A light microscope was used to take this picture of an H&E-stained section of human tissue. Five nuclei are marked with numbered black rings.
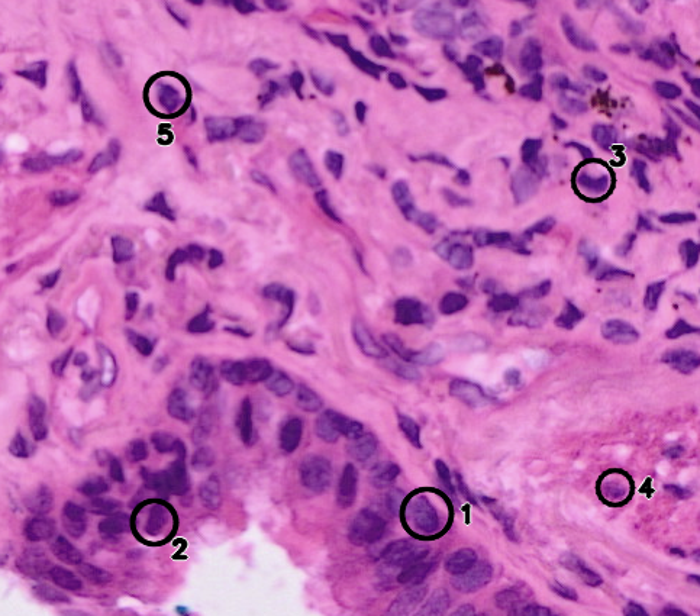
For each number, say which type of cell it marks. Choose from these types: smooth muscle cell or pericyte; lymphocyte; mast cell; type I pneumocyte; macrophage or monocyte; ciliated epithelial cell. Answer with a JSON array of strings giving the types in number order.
["ciliated epithelial cell", "ciliated epithelial cell", "lymphocyte", "smooth muscle cell or pericyte", "lymphocyte"]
